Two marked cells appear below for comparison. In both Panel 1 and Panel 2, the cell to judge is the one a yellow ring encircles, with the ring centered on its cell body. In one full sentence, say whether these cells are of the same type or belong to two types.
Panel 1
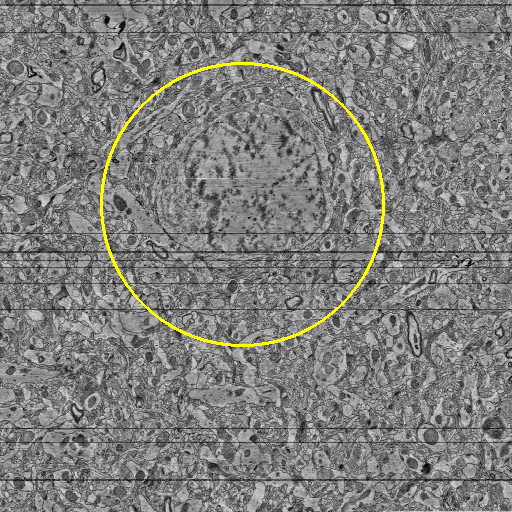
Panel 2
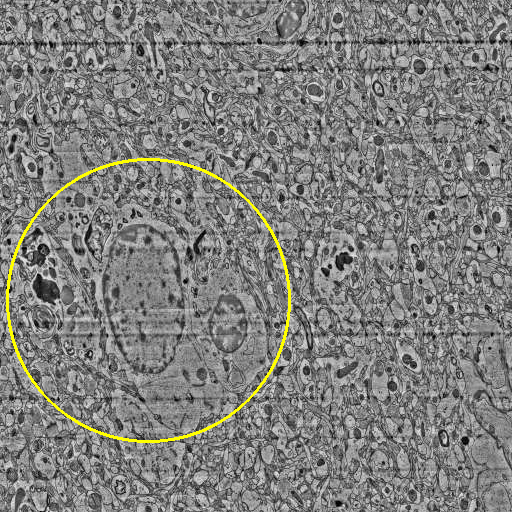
The cell centered in the Panel 1 ring and the one in Panel 2 belong to two types.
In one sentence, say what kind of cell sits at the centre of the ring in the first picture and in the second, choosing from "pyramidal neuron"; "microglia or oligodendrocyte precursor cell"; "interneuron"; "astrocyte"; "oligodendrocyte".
The first picture's ringed cell is an interneuron, while the second picture's is an astrocyte.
